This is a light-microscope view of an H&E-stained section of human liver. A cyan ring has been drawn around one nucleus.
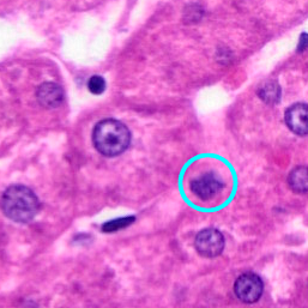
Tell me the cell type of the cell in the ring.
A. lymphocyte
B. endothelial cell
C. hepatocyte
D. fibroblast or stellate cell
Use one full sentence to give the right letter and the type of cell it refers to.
As stated in option B, the cell in the ring is an endothelial cell.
